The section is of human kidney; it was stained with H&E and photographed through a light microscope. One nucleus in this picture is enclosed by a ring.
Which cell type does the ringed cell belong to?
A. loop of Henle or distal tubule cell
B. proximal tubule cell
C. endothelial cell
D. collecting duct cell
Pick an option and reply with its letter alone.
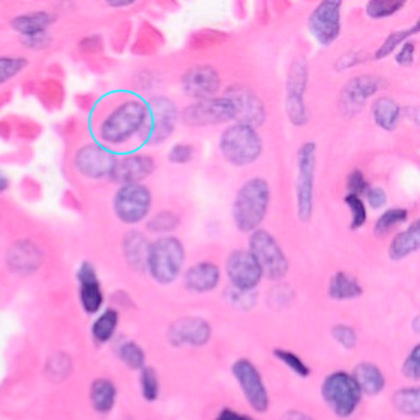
D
